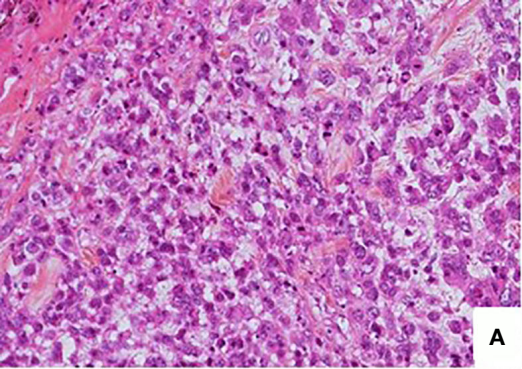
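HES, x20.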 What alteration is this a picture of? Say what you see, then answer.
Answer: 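Sheets of densely packed atypical cells without glands or organised architecture. Nuclei are enlarged, hyperchromatic and vary in size and shape. That points to this answer: Poorly differentiated tumor.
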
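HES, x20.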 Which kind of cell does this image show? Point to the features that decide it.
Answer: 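Tumour cells have large nuclei with a visible rim of cytoplasm. Cells are much larger than scattered stromal nuclei.
Hence: large cells.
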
